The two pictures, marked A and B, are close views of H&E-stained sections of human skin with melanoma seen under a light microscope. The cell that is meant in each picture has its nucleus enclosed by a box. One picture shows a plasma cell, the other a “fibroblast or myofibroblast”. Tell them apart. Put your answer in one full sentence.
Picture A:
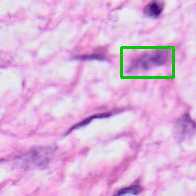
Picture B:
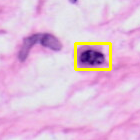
Picture A shows a “fibroblast or myofibroblast” and picture B shows a plasma cell.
